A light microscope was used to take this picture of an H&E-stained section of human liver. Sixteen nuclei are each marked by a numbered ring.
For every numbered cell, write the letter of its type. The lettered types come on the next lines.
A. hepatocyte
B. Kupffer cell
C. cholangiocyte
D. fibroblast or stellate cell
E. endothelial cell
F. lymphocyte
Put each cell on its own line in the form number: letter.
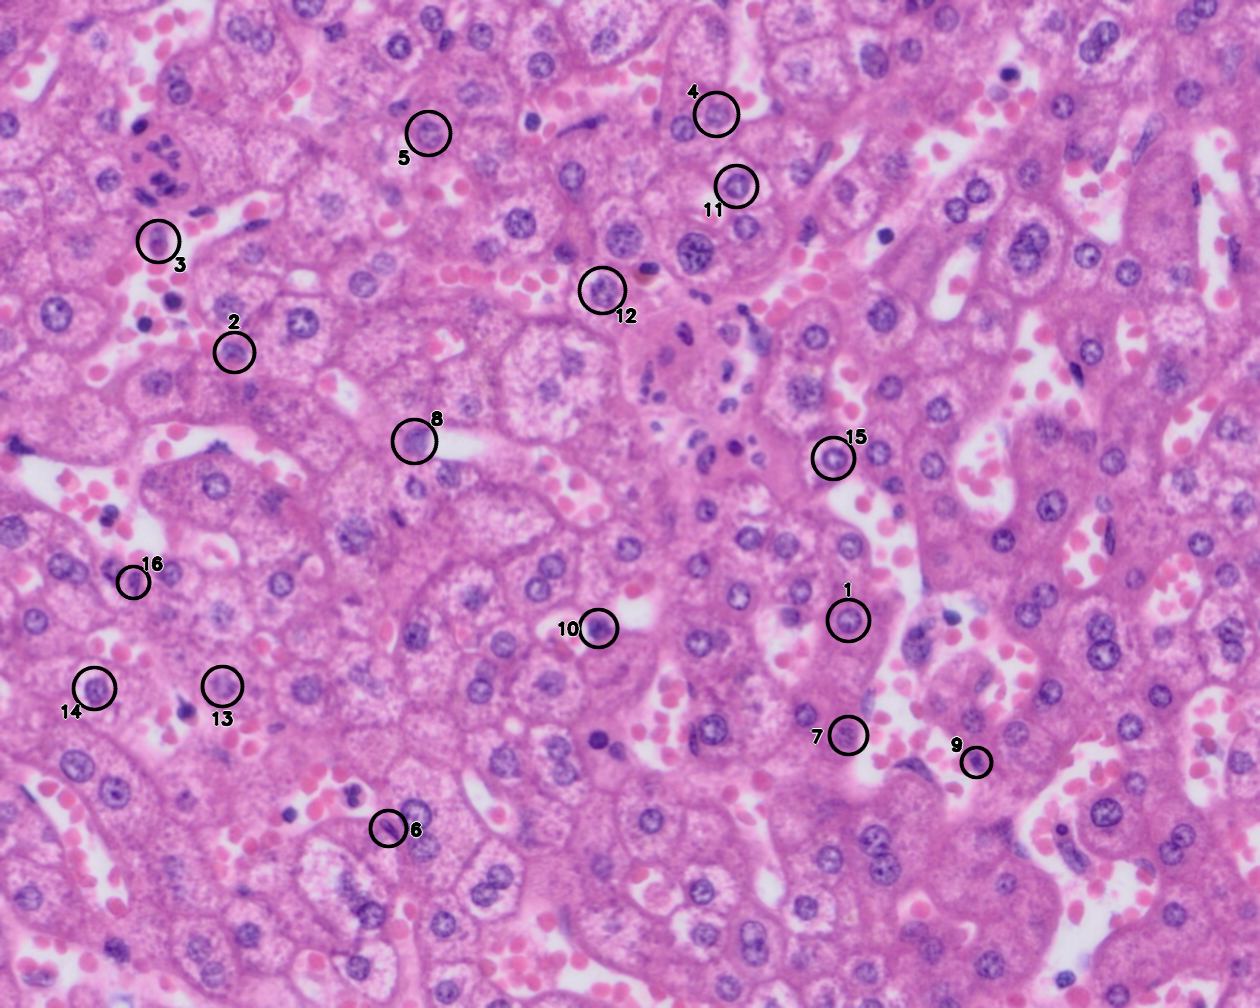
1: A
2: E
3: B
4: A
5: A
6: D
7: A
8: E
9: D
10: D
11: A
12: A
13: A
14: A
15: A
16: D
